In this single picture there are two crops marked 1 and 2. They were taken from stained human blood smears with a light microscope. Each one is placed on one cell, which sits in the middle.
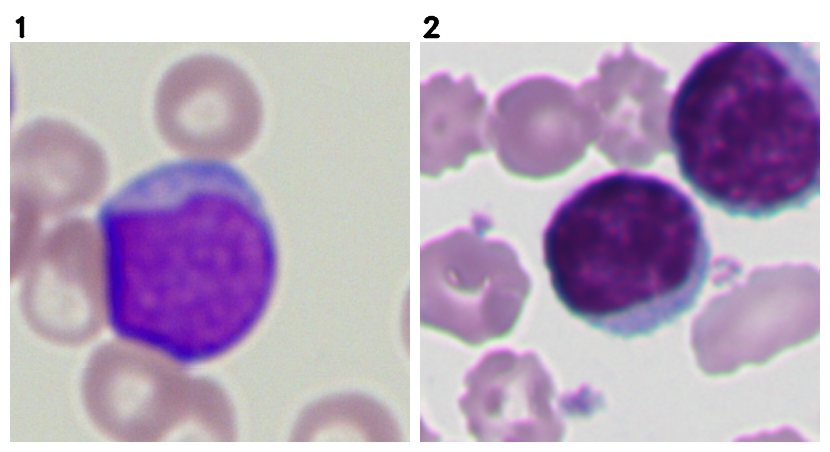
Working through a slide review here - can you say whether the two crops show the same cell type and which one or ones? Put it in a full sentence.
No, the cell that crop 1 shows is a blast, and the one crop 2 shows is a lymphocyte.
